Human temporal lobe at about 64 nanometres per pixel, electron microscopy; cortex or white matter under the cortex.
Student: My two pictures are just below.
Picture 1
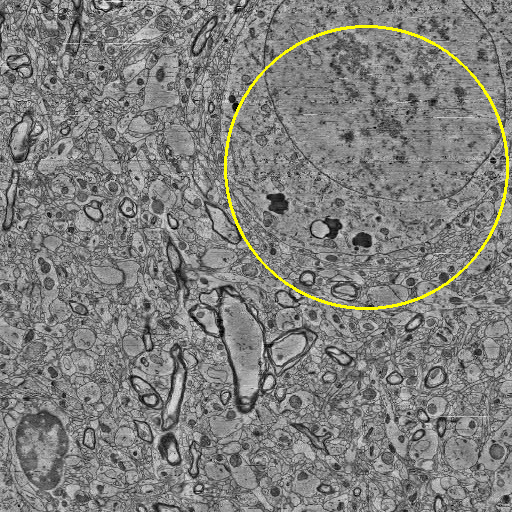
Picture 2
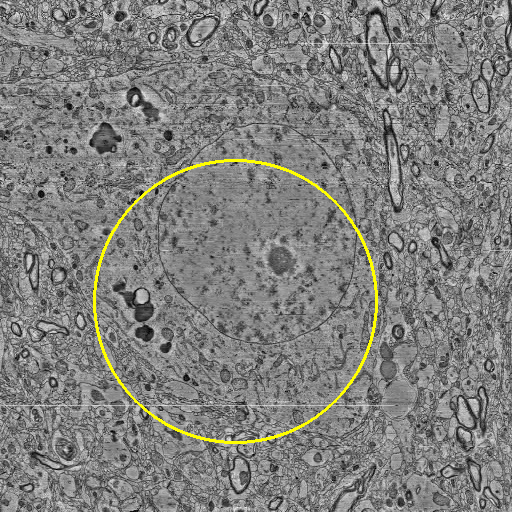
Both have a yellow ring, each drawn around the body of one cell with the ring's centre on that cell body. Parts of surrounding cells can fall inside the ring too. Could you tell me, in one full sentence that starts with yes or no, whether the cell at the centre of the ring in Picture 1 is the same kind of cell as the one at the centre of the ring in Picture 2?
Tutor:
Yes, the two cells are of the same kind.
